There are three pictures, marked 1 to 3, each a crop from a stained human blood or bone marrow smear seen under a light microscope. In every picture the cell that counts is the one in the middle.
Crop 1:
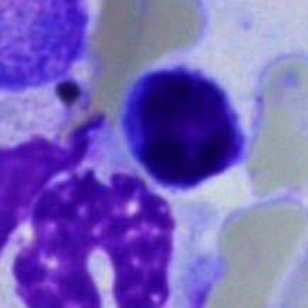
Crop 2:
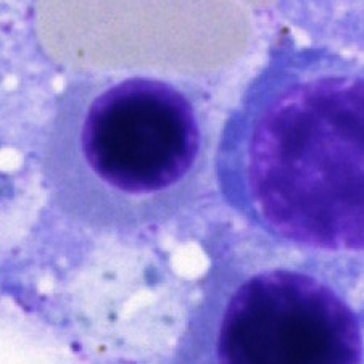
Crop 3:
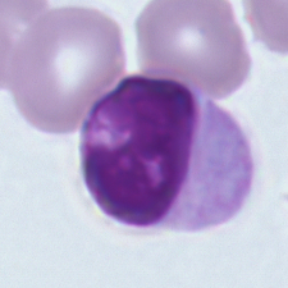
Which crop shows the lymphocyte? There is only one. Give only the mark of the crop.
1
